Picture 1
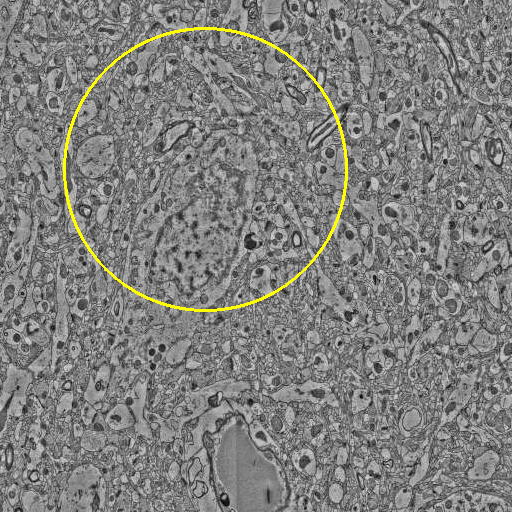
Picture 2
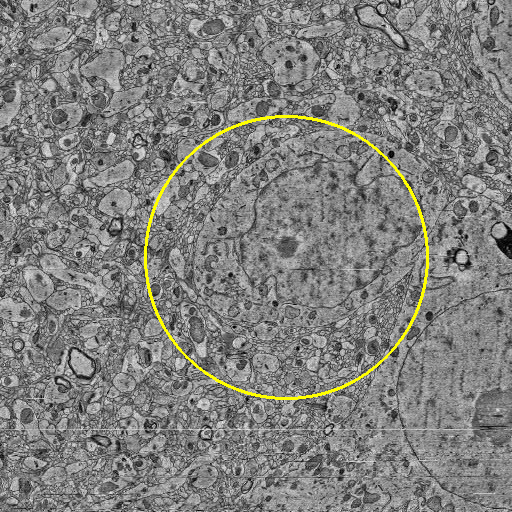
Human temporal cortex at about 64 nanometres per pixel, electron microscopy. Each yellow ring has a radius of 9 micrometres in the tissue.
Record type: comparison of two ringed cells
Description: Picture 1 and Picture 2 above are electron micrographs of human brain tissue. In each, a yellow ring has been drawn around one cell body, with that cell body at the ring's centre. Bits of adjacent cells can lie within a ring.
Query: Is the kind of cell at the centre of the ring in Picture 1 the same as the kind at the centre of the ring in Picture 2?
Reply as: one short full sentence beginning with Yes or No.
Yes, the two ringed cells are of the same kind.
